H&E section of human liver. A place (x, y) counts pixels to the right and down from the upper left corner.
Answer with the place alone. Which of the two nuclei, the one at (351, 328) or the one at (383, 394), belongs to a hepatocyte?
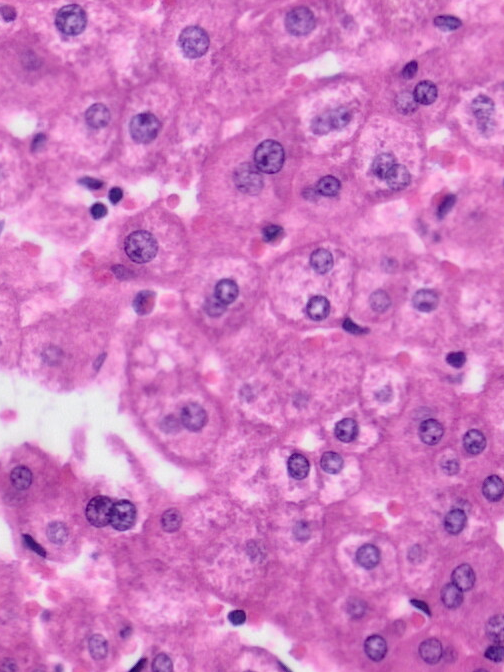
(383, 394)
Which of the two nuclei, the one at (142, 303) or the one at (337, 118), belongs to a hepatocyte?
(337, 118)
